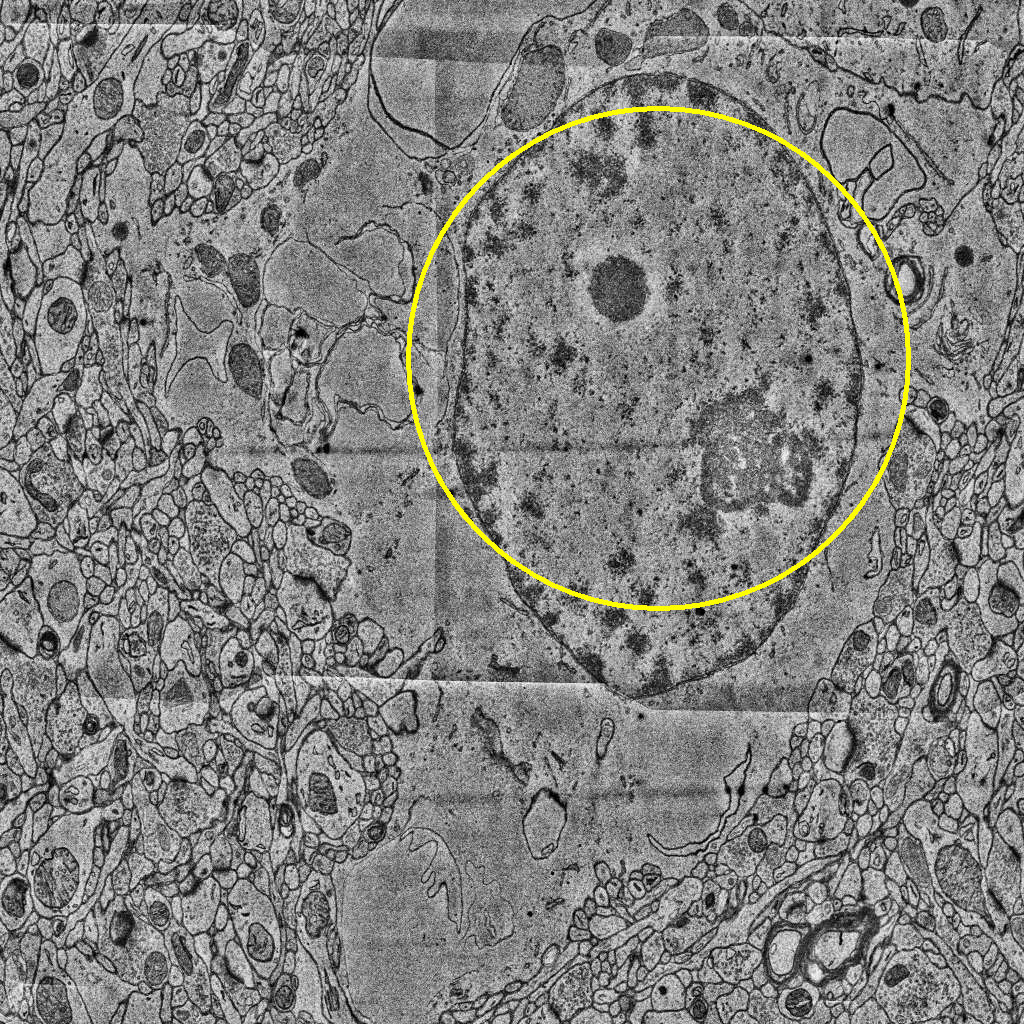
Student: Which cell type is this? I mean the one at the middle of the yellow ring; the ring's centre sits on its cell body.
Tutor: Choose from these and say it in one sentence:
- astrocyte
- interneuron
The cell at the ring's centre is an astrocyte.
